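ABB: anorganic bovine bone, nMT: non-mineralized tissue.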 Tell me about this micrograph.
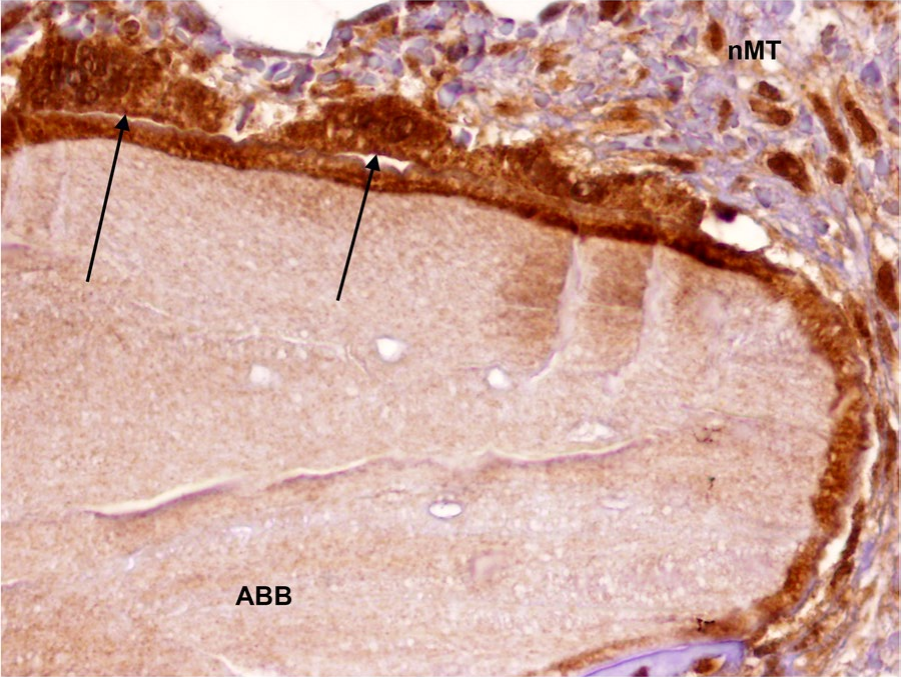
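The particle is pale tan and finely granular, crossed by a few cracks and pierced by small round holes. Along its upper and right margins runs a continuous dark brown band, and large cells with strongly brown cytoplasm sit directly on this surface. The soft tissue above and to the right holds many small cells with blue-purple oval nuclei, scattered among further brown-stained cells and small empty spaces.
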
